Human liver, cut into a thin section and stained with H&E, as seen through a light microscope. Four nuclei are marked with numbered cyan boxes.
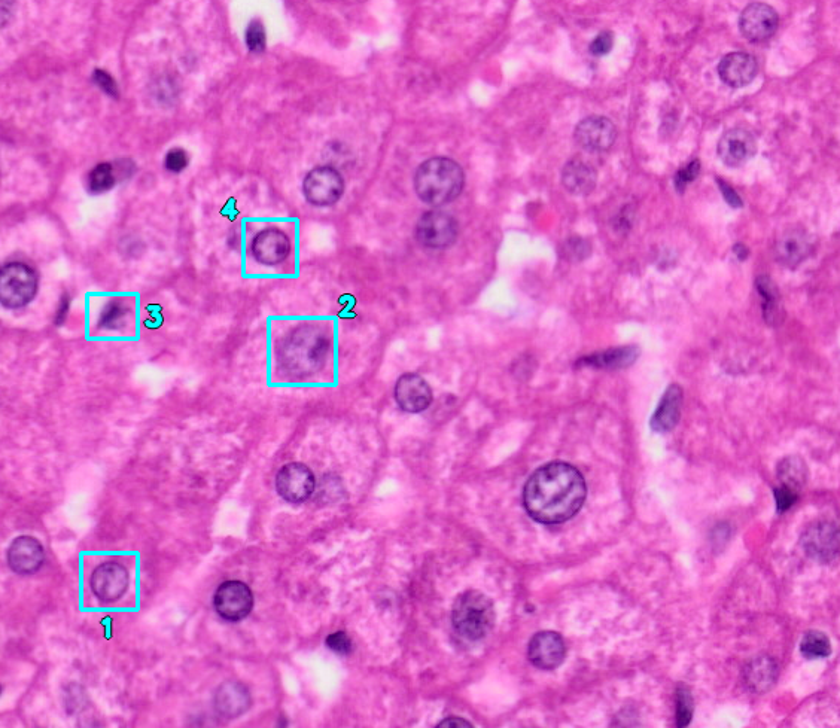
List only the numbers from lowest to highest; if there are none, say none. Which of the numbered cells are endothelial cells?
3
